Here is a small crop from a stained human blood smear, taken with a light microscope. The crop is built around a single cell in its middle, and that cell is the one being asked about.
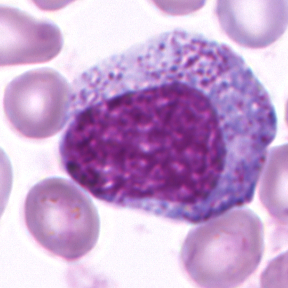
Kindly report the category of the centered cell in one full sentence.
Classified as a promyelocyte is the cell in the middle of this crop.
